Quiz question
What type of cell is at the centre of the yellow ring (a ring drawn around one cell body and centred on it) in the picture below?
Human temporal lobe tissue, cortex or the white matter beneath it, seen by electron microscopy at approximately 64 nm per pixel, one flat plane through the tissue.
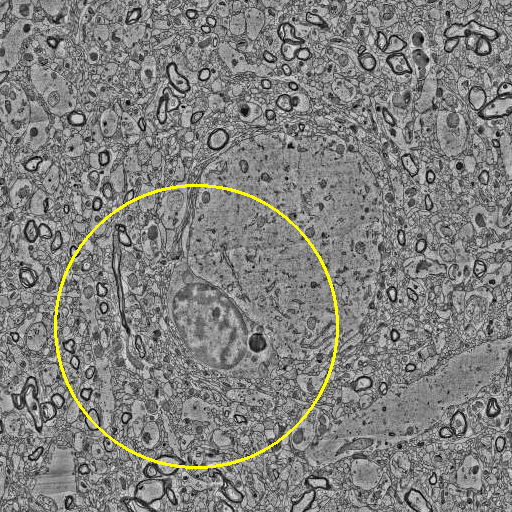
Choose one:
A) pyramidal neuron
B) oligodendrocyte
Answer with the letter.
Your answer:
B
